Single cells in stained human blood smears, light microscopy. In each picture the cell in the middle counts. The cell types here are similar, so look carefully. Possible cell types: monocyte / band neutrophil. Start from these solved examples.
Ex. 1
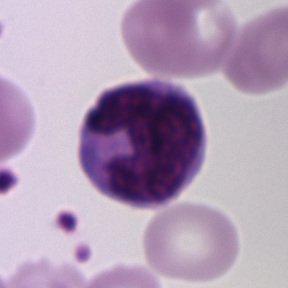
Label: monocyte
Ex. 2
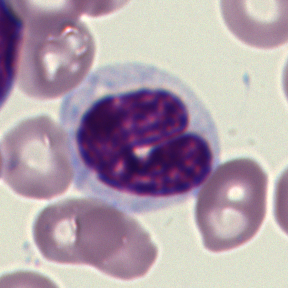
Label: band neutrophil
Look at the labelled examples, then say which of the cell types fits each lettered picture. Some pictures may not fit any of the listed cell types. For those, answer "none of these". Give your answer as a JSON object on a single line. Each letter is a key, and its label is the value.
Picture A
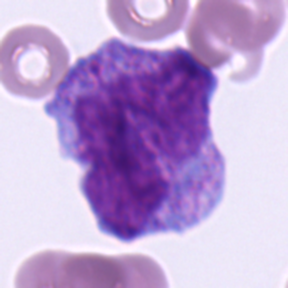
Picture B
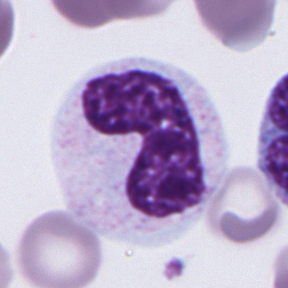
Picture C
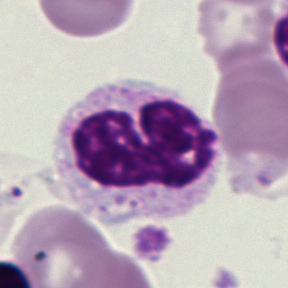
{"A": "none of these", "B": "band neutrophil", "C": "band neutrophil"}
